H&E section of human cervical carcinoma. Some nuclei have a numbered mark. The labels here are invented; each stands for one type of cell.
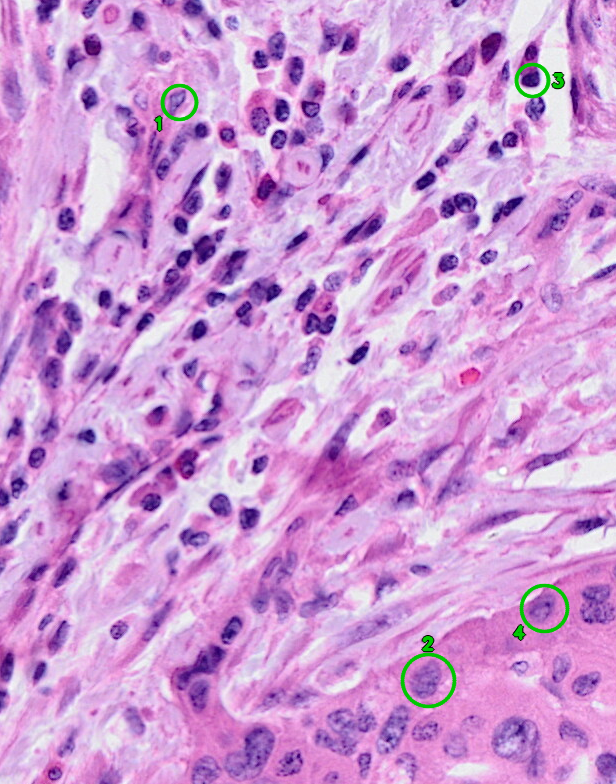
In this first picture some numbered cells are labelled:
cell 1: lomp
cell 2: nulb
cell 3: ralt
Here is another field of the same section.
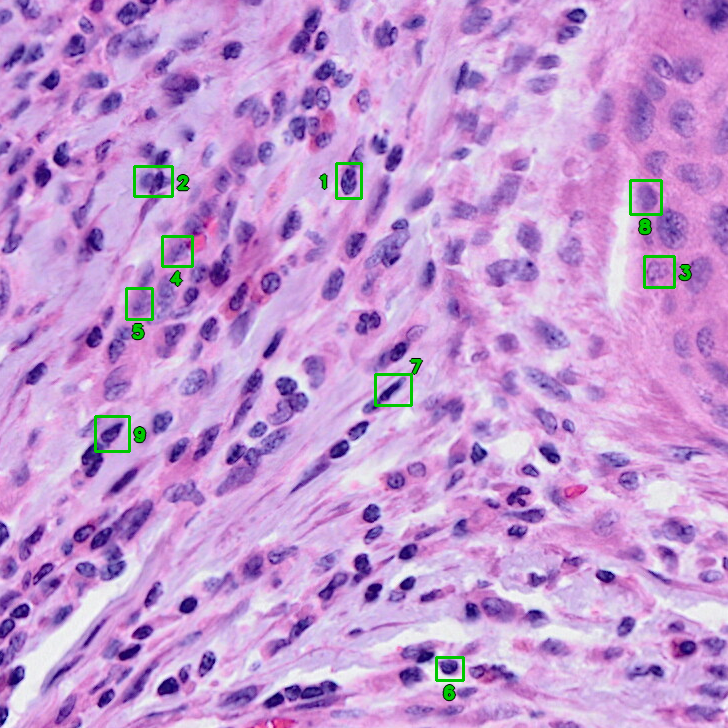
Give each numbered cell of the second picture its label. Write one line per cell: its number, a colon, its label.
1: ralt
2: ralt
3: nulb
4: lomp
5: lomp
6: ralt
7: ralt
8: nulb
9: ralt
